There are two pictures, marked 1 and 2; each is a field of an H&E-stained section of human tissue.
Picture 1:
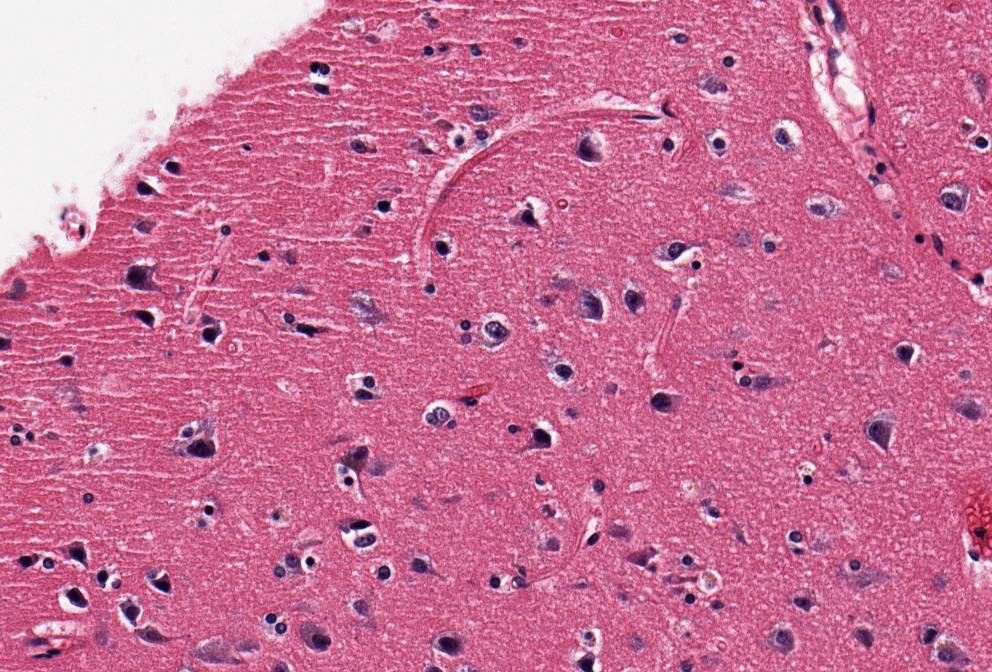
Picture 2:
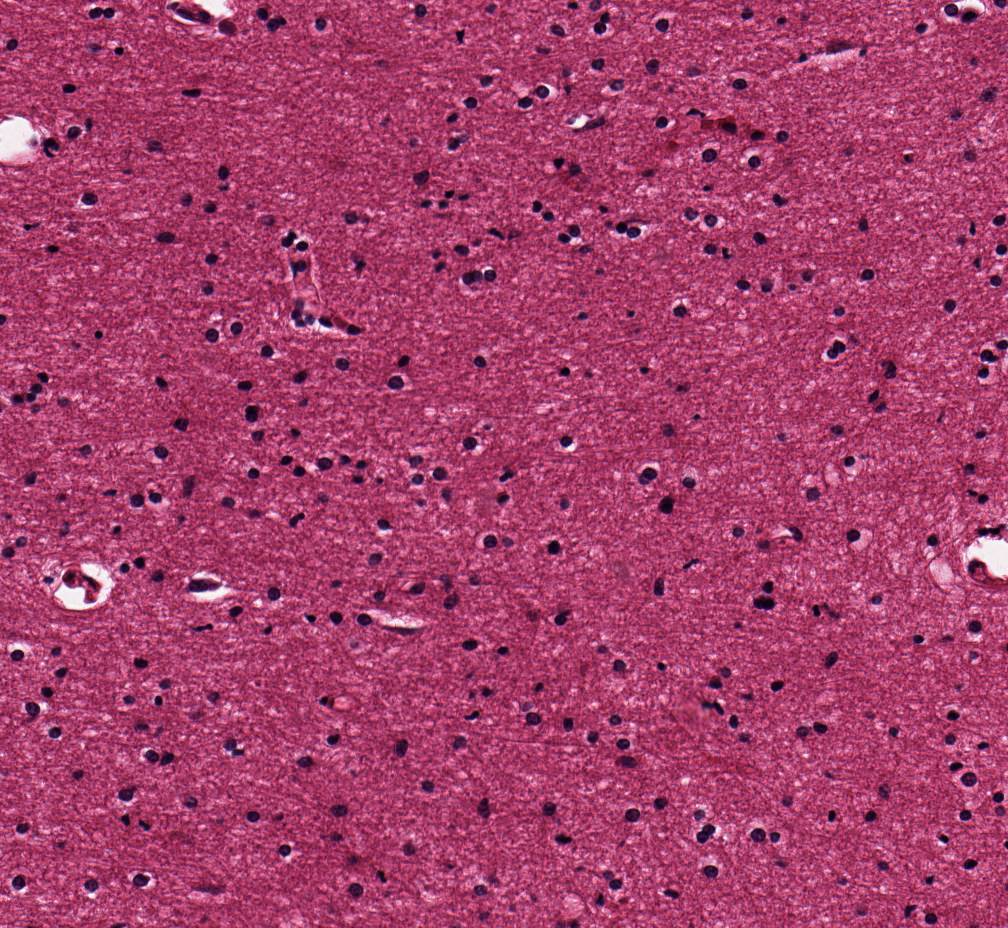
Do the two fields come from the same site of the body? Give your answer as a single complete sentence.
Yes, both come from the cerebral cortex.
